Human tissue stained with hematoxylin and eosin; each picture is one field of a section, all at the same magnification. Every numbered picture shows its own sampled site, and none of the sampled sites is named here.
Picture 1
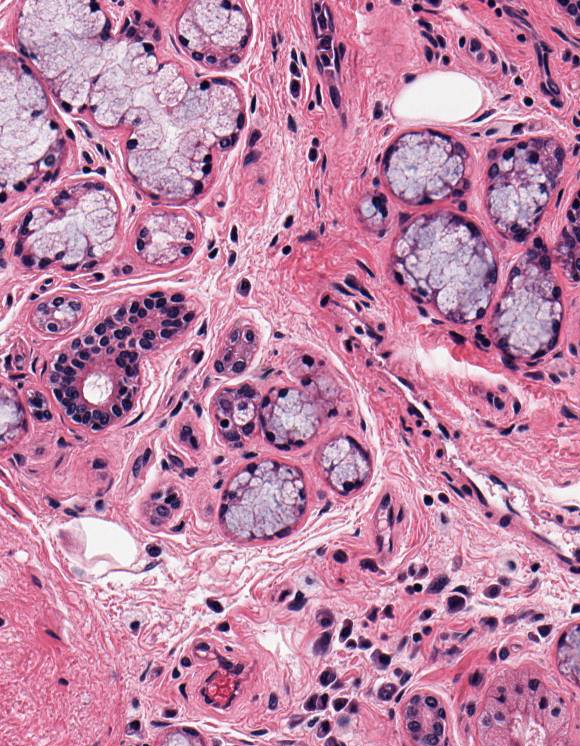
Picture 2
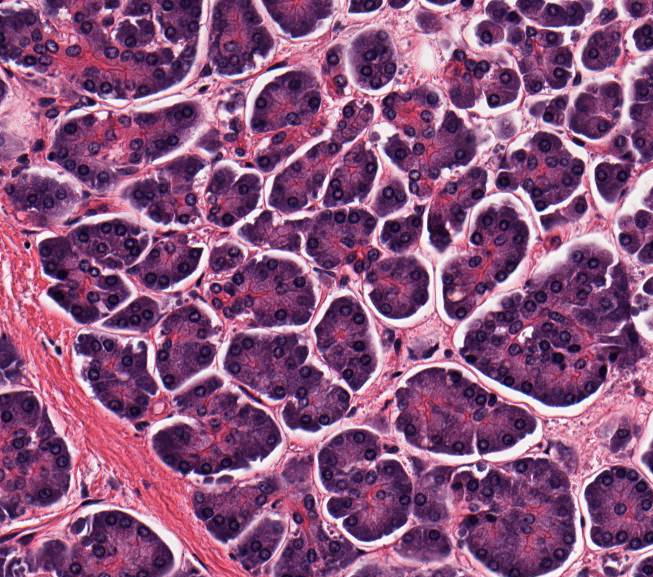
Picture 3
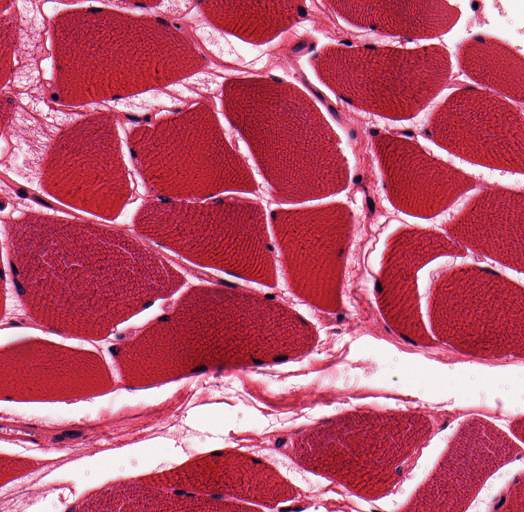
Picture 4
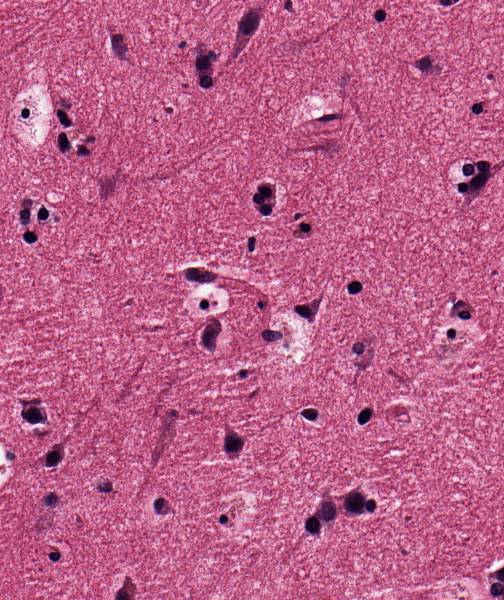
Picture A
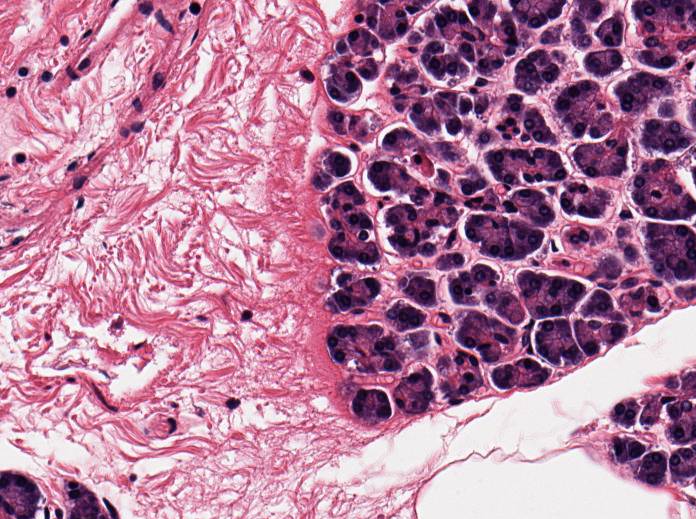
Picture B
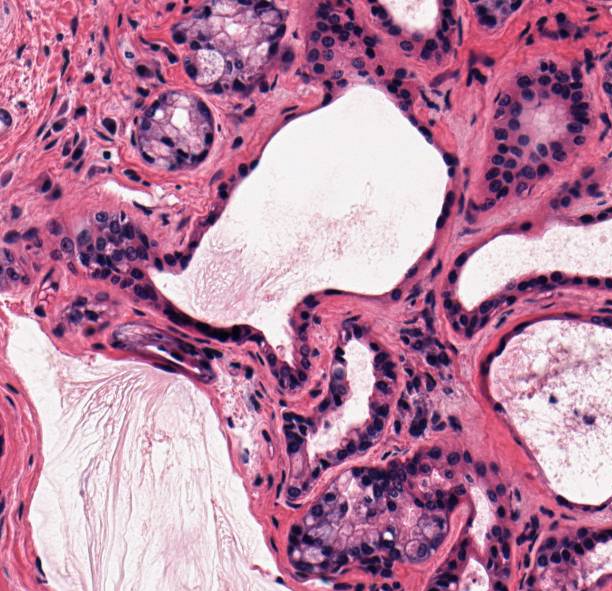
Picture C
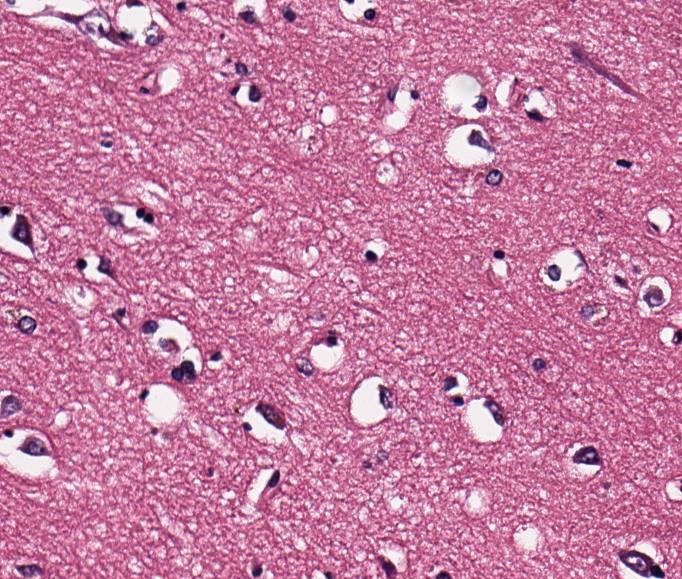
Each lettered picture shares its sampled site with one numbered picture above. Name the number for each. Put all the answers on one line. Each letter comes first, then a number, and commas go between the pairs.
A 2, B 1, C 4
